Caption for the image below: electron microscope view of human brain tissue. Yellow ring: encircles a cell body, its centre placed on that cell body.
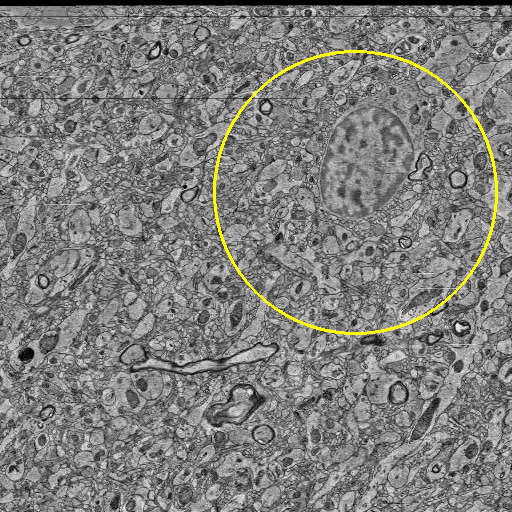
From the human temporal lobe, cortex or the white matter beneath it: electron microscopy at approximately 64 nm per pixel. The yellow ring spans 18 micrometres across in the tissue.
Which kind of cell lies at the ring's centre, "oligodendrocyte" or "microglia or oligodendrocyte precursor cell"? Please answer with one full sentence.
The picture shows an oligodendrocyte at the centre of the yellow ring.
